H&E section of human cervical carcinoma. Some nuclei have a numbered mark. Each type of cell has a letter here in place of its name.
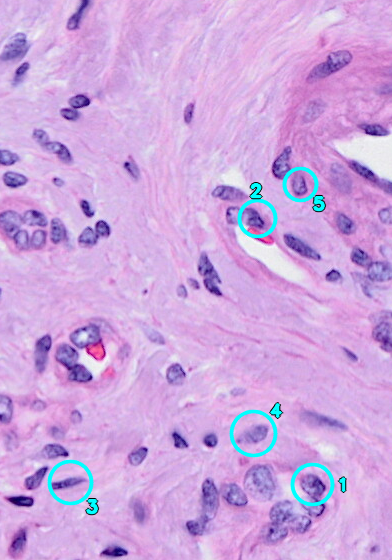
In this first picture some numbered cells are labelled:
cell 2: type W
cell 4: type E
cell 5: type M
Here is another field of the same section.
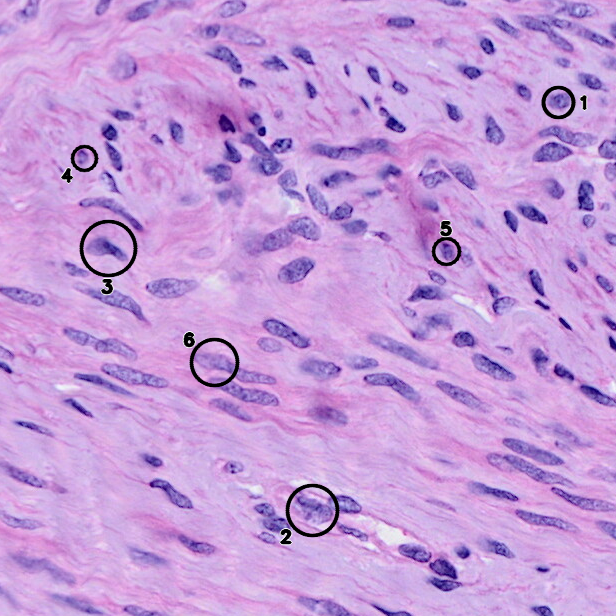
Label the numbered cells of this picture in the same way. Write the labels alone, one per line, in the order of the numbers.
type M
type W
type E
type M
type M
type M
